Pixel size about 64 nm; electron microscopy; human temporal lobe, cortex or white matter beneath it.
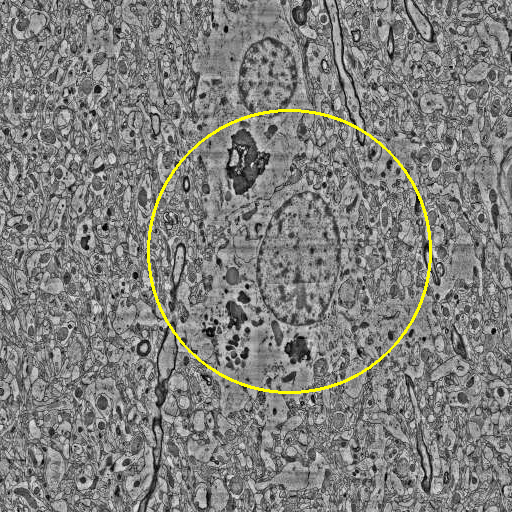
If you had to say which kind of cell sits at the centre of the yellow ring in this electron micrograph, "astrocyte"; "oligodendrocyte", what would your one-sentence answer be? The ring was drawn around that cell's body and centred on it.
The cell sitting at the centre of the ring is an astrocyte.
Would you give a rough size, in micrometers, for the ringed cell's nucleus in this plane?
Roughly 8 micrometres long and 6 micrometres wide; in this plane the nucleus is clearly longer than it is wide.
